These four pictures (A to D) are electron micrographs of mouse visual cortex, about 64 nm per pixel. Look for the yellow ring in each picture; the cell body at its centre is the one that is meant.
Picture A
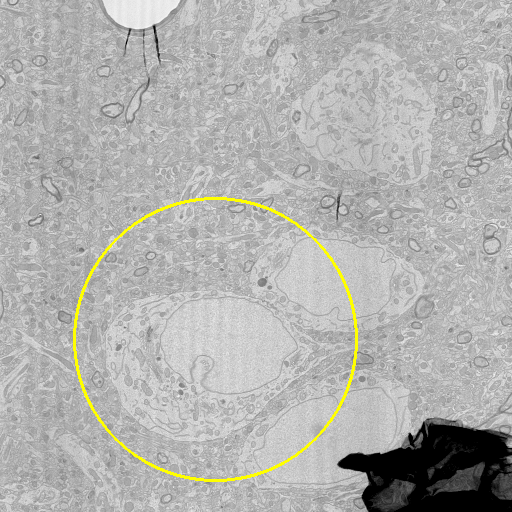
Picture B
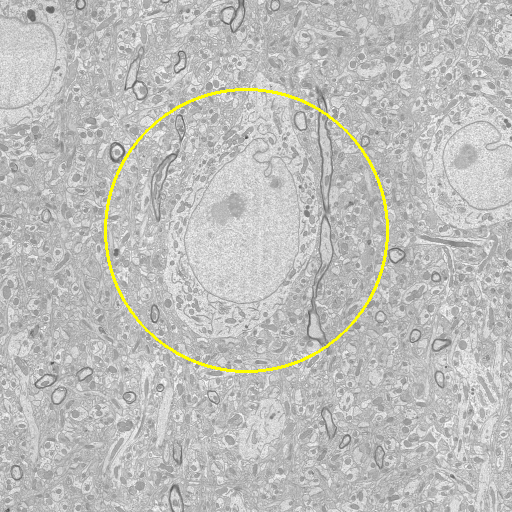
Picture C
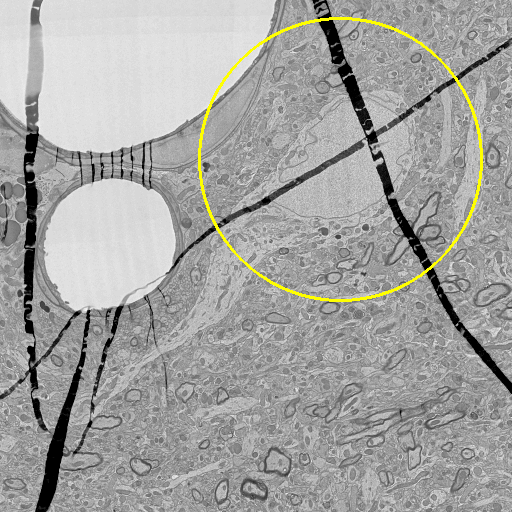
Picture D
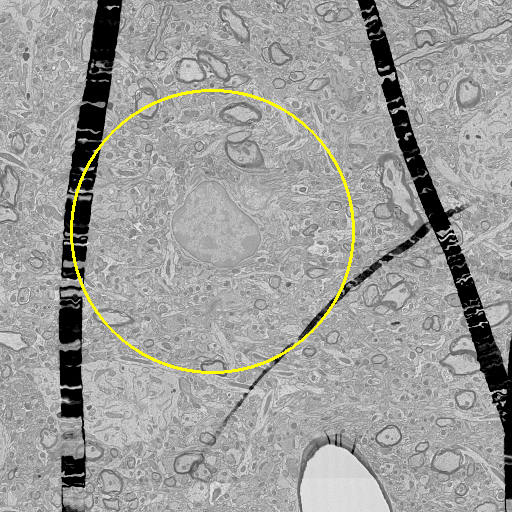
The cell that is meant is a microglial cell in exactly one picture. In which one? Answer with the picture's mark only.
D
